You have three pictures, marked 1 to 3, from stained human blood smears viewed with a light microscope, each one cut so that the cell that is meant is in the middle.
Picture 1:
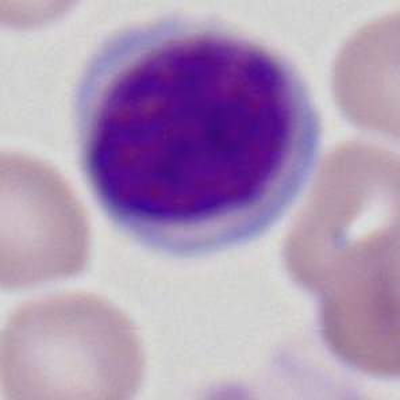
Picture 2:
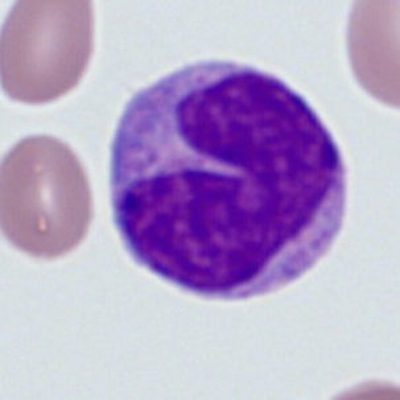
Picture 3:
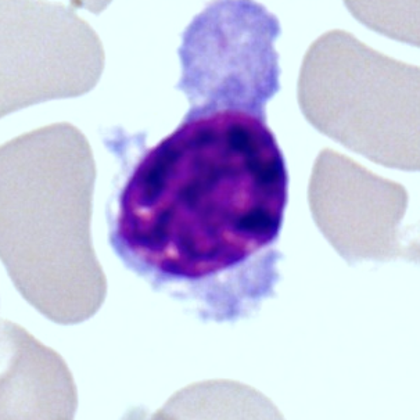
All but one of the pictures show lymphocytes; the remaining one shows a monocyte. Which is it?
2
